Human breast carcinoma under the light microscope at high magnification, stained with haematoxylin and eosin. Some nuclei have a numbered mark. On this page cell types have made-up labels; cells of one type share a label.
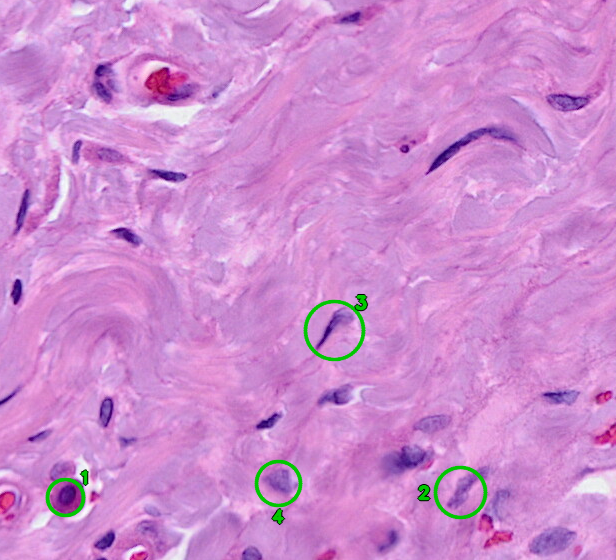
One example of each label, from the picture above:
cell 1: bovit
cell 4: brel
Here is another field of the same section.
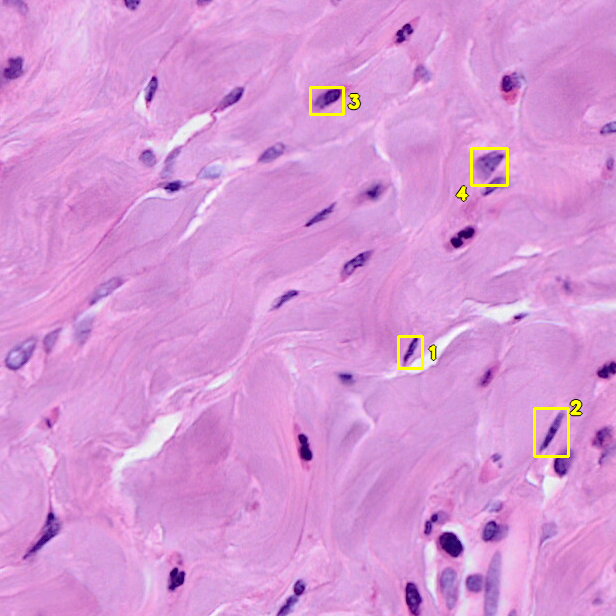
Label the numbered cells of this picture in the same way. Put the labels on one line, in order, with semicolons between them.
brel; brel; bovit; brel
